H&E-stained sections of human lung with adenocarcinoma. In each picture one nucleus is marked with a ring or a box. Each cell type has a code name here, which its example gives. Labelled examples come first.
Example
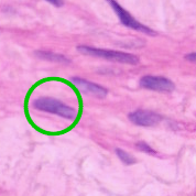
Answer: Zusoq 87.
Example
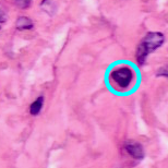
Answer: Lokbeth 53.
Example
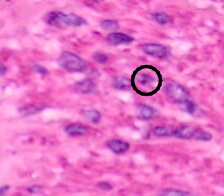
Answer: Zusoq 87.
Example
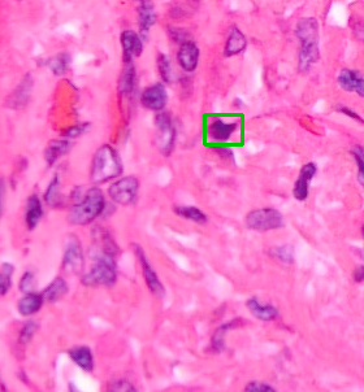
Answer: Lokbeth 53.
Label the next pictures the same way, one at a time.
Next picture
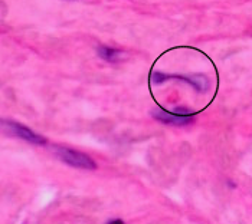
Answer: Zusoq 87.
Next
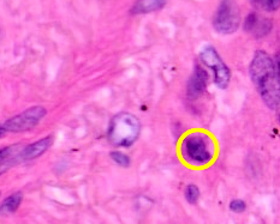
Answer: Lokbeth 53.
